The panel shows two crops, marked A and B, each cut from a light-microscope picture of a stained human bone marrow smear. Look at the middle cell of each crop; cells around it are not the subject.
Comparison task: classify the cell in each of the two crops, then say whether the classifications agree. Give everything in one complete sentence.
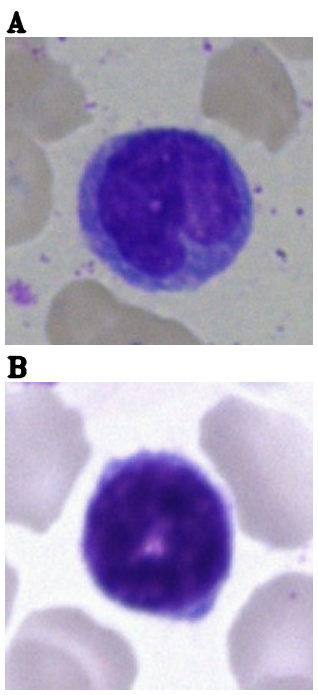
No; crop A is a monocyte, while crop B is a lymphocyte.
